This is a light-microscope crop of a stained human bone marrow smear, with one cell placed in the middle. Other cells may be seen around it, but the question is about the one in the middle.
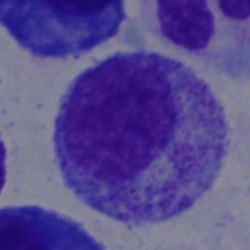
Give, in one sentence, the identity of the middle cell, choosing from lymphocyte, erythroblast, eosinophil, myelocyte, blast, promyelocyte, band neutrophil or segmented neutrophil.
In the middle of this smear crop is a myelocyte.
